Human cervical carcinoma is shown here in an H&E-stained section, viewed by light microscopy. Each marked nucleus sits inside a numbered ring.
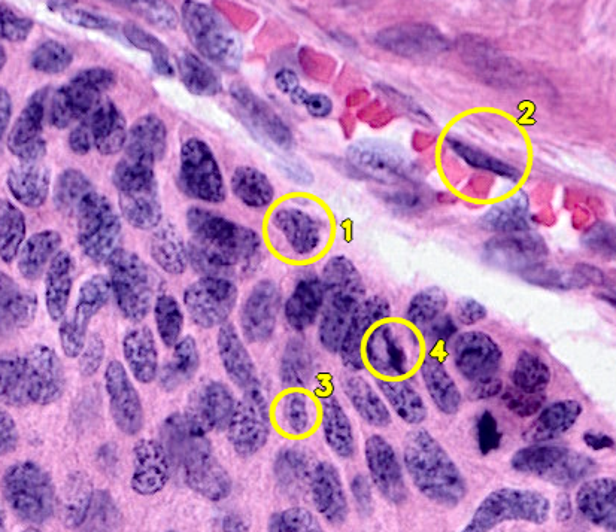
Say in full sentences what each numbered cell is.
Cells 1, 3 and 4 are squamous carcinoma cells. Cell 2 is an endothelial cell.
